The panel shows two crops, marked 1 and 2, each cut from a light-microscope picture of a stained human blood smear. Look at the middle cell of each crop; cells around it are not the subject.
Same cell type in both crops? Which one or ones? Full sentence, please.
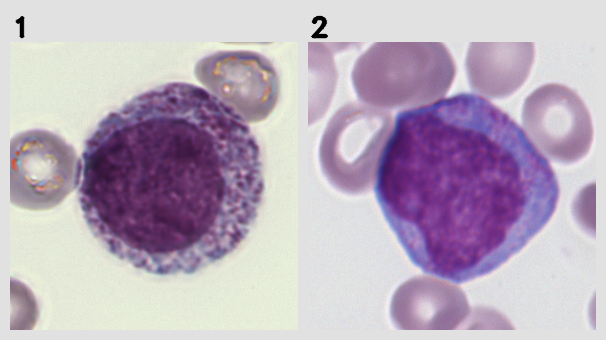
Yes, as shown in both crops, the central cells are promyelocytes.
